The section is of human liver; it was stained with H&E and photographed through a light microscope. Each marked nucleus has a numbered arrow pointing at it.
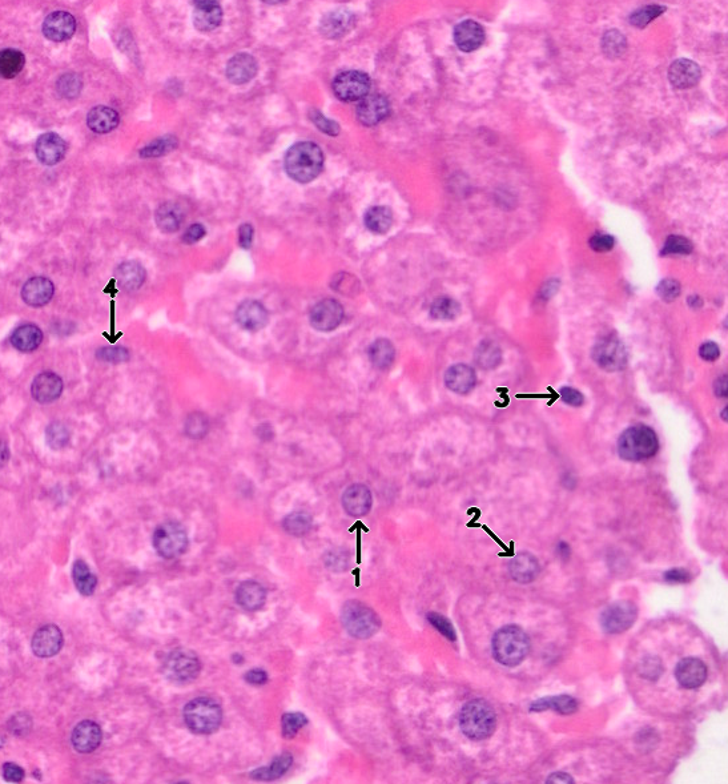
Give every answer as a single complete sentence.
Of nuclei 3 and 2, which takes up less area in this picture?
Number 3 is smaller, since number 2 takes up about 1.5 times as much area.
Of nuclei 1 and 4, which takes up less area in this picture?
Nucleus 4 is the smaller one; nucleus 1 covers about 1.5 times its area.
